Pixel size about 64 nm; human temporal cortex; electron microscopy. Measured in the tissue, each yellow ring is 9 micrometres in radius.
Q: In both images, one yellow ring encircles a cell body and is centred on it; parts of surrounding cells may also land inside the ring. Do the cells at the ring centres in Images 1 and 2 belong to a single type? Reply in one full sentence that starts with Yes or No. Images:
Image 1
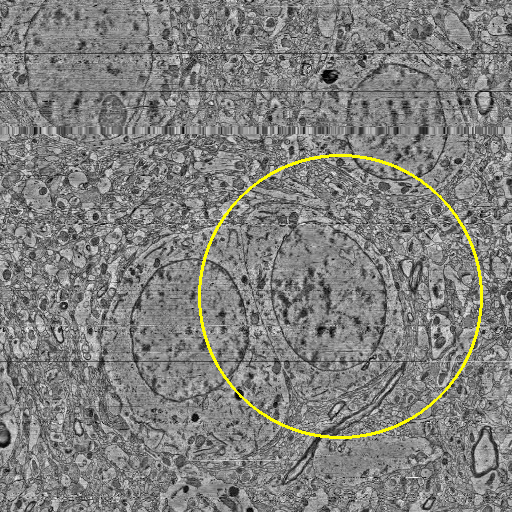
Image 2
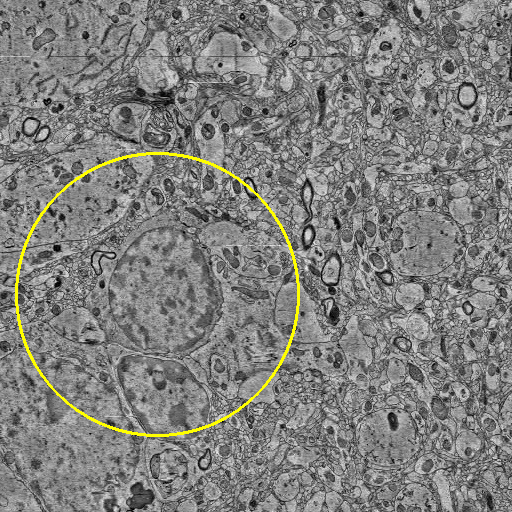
No, the cells at the ring centres in Images 1 and 2 are of two types.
